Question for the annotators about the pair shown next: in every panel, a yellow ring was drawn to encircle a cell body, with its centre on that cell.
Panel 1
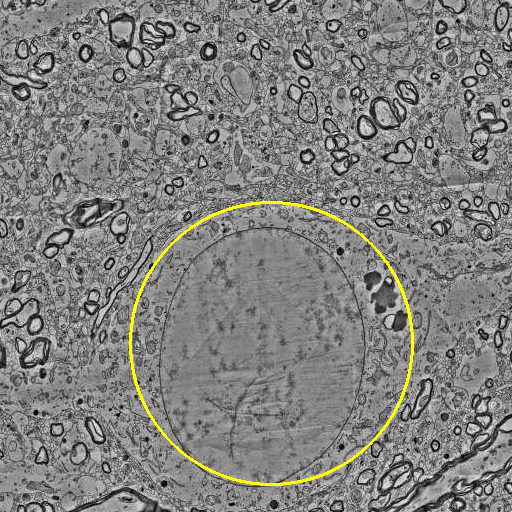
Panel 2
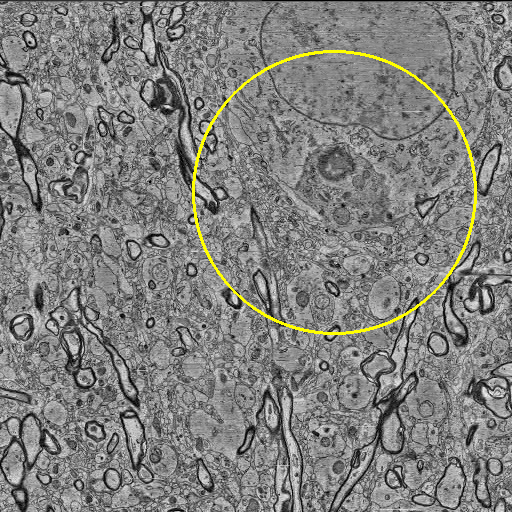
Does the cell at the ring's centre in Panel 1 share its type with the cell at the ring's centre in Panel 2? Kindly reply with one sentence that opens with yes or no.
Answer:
No, in Panels 1 and 2 the cells at the ring centres belong to separate types.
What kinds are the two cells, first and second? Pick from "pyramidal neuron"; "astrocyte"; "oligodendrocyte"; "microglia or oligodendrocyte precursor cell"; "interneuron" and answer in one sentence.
The second picture holds an oligodendrocyte in its ring, and the first holds a pyramidal neuron.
